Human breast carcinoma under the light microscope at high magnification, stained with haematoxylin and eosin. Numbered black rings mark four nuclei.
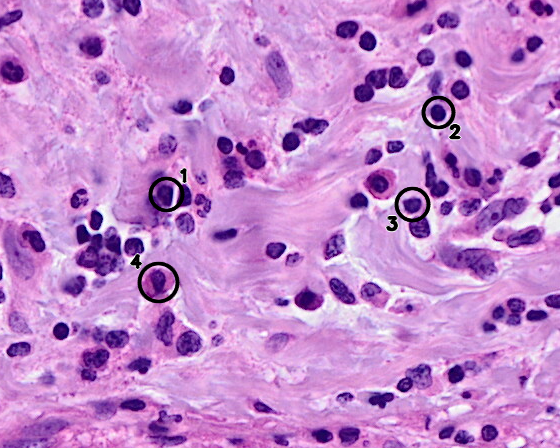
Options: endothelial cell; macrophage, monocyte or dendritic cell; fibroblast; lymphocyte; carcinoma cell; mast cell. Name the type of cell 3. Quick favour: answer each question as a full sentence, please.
The correct label for cell 3 is a lymphocyte.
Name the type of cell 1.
In the tissue shown, cell 1 is a lymphocyte.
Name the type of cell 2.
Heads up, the cell numbered 2 is a lymphocyte.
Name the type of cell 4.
The marked nucleus 4 is that of a mast cell.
